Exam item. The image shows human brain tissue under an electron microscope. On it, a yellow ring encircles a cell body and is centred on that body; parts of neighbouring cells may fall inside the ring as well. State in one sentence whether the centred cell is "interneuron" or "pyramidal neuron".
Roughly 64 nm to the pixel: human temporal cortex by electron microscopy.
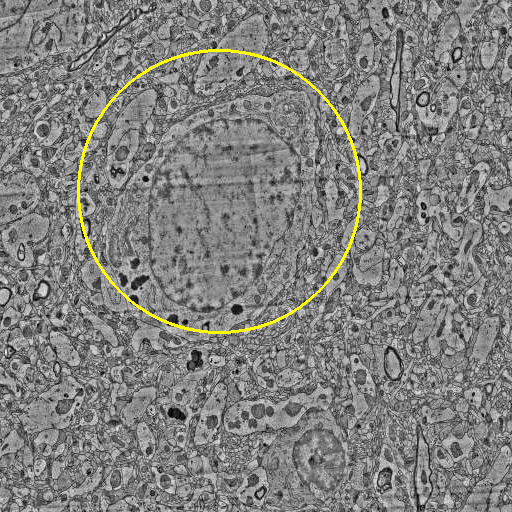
The cell body centred in the ring is an interneuron.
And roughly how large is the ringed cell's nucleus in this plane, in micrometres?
The nucleus comes to roughly 13 by 9 micrometres in this plane.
